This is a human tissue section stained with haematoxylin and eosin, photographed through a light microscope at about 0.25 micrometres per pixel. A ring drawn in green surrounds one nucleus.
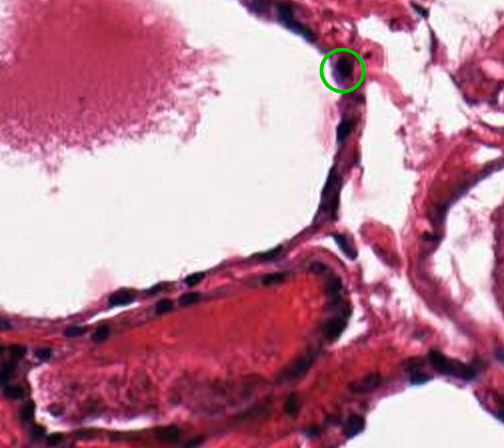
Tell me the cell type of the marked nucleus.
thyroid follicular cell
